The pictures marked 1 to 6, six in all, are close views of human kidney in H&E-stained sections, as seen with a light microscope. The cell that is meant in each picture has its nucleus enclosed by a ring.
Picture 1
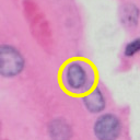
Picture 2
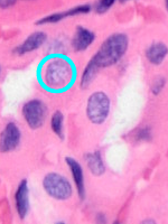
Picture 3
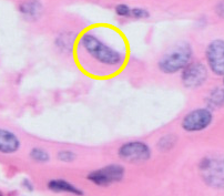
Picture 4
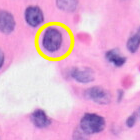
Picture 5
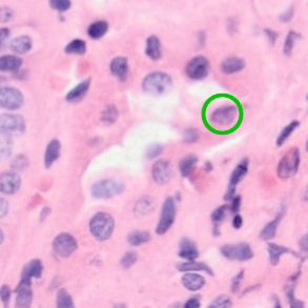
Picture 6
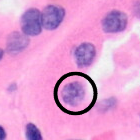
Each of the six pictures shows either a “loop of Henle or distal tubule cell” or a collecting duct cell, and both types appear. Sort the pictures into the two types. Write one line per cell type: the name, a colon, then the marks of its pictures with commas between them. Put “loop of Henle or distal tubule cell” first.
loop of Henle or distal tubule cell: 5, 6
collecting duct cell: 1, 2, 3, 4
